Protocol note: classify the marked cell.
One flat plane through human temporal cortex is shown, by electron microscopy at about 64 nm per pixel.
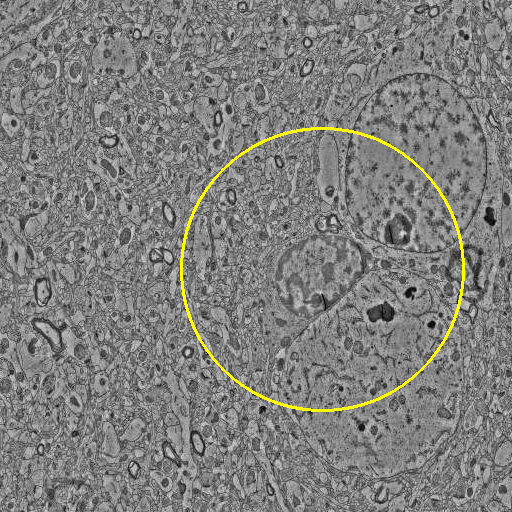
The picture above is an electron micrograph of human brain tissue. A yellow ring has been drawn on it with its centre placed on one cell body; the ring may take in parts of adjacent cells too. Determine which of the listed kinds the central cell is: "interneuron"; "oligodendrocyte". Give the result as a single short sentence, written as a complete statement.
The central cell is an oligodendrocyte.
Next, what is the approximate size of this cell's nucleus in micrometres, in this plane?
Approximately 6 by 5 micrometers in this plane.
